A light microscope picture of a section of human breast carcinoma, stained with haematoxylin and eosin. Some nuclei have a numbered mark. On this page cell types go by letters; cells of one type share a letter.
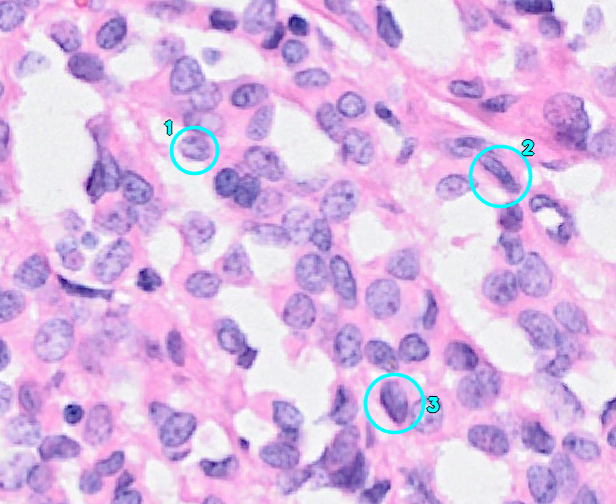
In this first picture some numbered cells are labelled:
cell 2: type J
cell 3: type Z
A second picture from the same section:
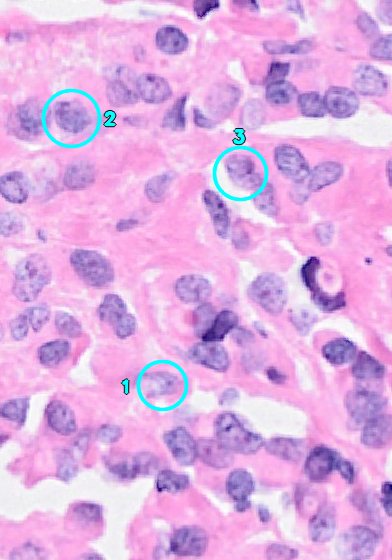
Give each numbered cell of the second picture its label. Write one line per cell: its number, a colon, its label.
1: type J
2: type Z
3: type Z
